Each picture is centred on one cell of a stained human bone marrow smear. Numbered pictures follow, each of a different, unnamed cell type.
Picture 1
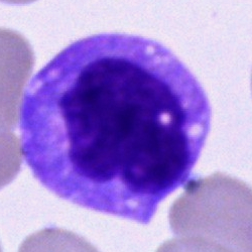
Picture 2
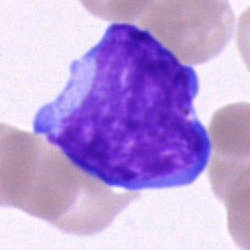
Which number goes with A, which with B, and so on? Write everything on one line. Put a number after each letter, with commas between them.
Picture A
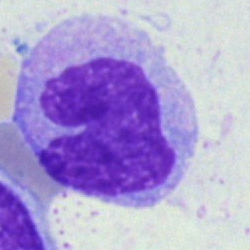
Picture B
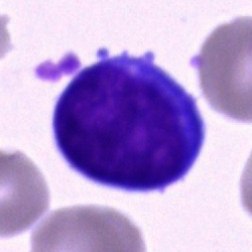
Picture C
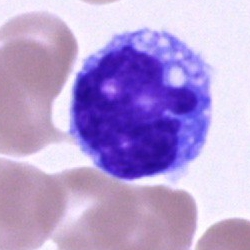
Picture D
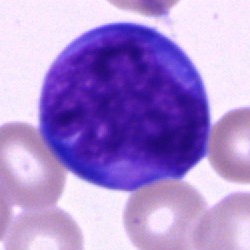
A 1, B 2, C 1, D 2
